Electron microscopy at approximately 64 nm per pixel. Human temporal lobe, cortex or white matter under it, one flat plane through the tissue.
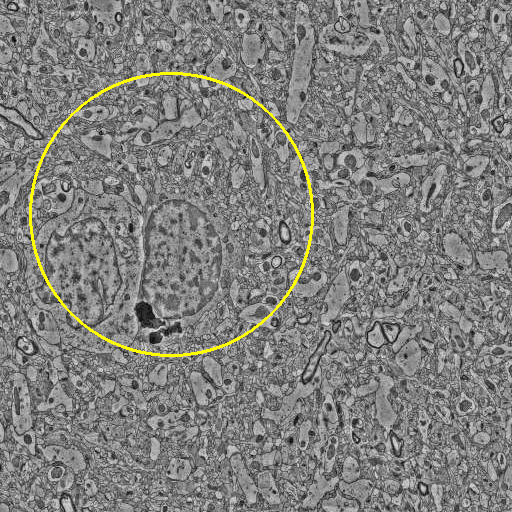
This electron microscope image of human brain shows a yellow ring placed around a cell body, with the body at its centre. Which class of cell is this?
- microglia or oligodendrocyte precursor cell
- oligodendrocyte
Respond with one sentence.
The cell body at the ring's centre is an oligodendrocyte.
